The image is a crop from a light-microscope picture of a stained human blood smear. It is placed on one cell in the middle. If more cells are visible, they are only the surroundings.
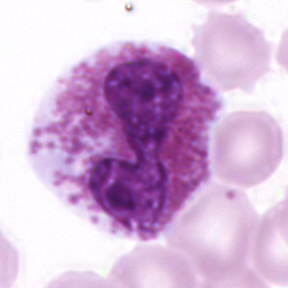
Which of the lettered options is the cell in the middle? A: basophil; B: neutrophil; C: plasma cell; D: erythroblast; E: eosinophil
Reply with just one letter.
E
